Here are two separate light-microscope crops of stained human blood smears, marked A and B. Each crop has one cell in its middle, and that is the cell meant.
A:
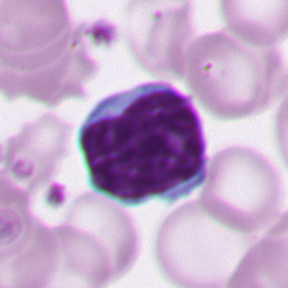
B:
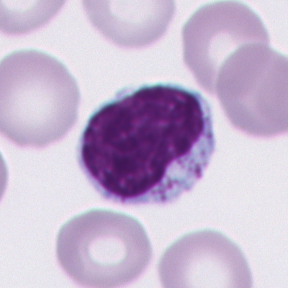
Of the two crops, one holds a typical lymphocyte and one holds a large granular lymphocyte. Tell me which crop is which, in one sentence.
Identification: crop A is a typical lymphocyte; crop B is a large granular lymphocyte.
